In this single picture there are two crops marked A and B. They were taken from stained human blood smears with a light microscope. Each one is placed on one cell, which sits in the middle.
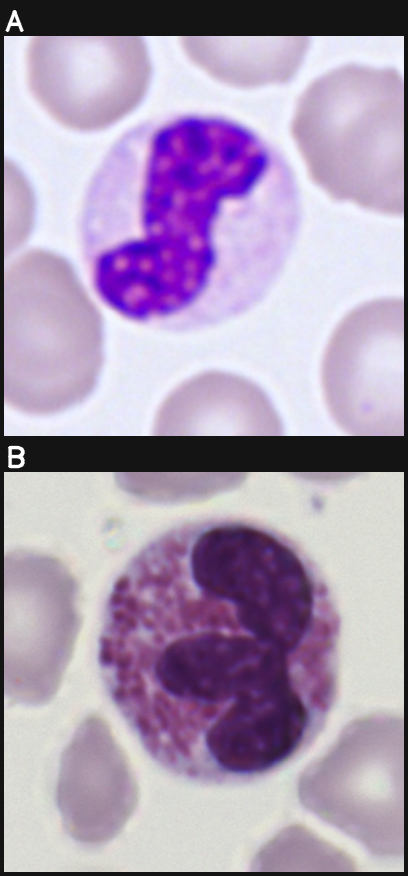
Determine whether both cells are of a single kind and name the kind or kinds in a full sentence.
No, cell A is a band neutrophil, and cell B is an eosinophil.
